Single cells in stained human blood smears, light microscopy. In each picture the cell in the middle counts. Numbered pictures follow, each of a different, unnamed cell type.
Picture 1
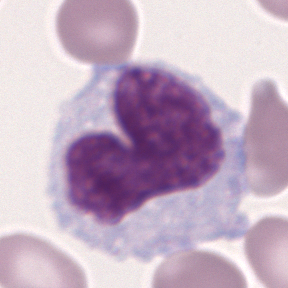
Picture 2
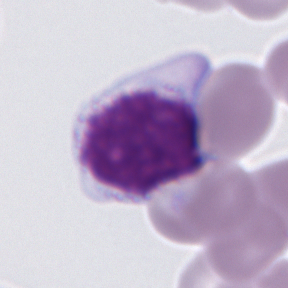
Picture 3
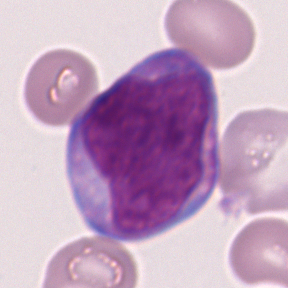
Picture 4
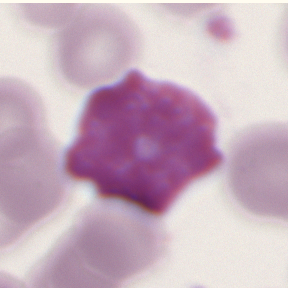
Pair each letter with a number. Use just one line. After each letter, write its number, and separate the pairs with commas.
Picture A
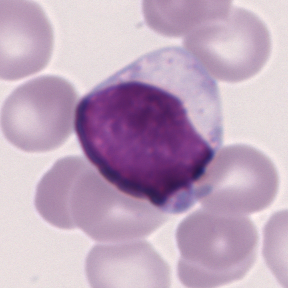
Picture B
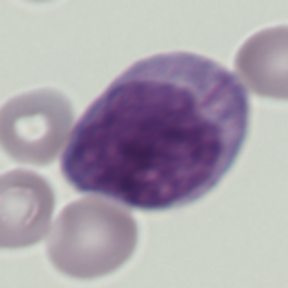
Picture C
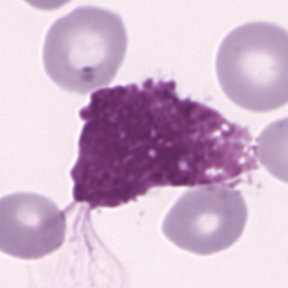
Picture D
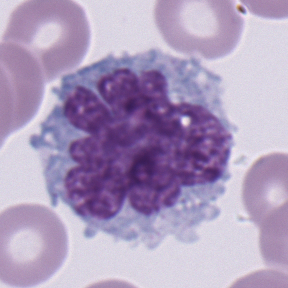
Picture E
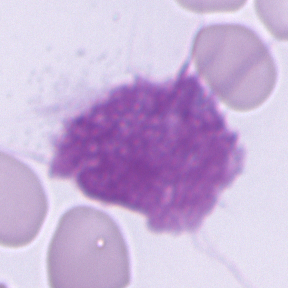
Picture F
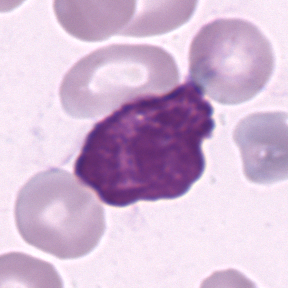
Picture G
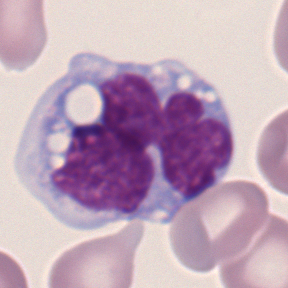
A 2, B 3, C 4, D 1, E 4, F 4, G 1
